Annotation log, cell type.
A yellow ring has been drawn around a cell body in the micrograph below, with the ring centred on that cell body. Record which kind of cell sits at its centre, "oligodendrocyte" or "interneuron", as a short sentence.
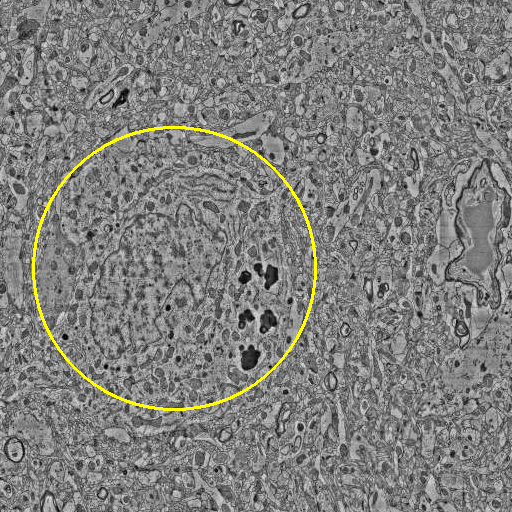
The cell at the centre of this ring is an interneuron.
